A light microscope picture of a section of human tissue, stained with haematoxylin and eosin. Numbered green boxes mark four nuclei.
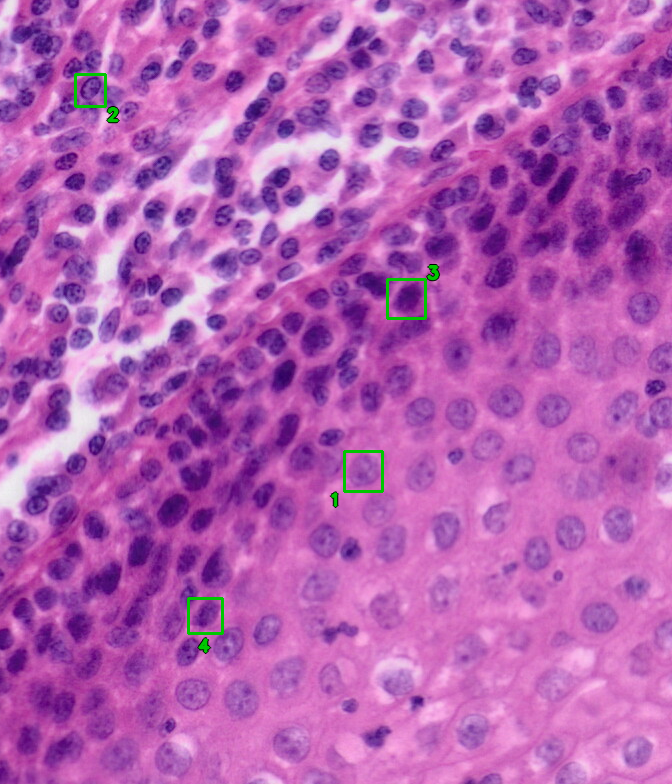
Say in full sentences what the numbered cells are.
Cell 1 is a squamous epithelial cell, cell 2 is a plasma cell, cell 3 is a squamous epithelial cell and cell 4 is a squamous epithelial cell.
